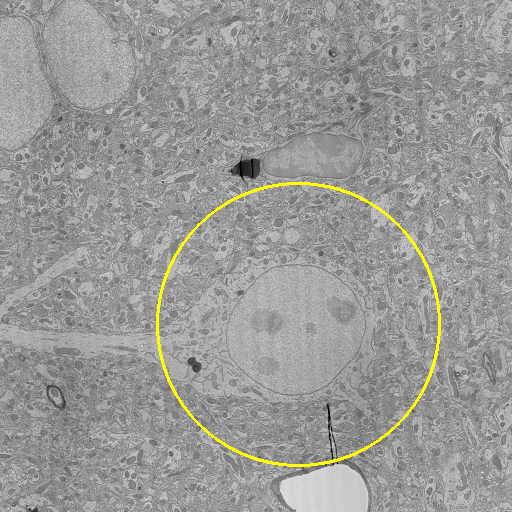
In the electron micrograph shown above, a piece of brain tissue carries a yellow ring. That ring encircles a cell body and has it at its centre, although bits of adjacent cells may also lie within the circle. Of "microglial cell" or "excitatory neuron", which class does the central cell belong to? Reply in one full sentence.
The cell body at the centre of the yellow ring belongs to an excitatory neuron.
